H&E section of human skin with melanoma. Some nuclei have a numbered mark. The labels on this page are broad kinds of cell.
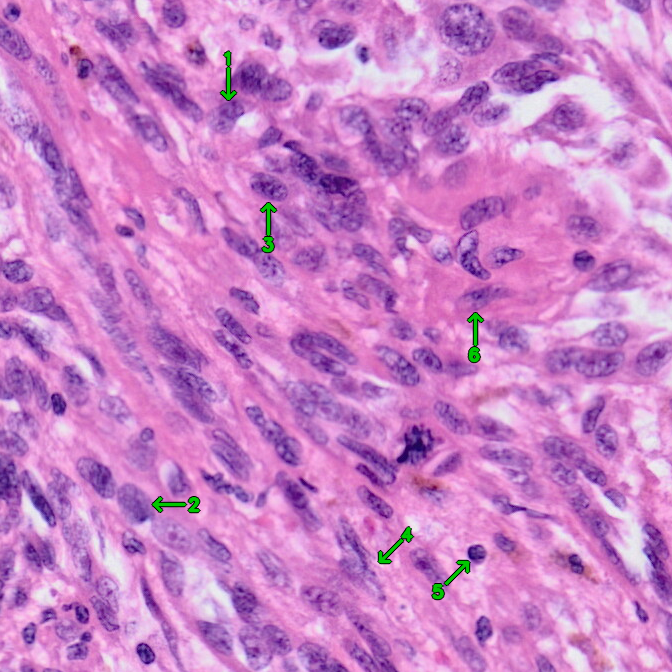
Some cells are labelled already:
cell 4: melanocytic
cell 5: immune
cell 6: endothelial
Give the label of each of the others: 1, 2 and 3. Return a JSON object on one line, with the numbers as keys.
{"1": "melanocytic", "2": "melanocytic", "3": "melanocytic"}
